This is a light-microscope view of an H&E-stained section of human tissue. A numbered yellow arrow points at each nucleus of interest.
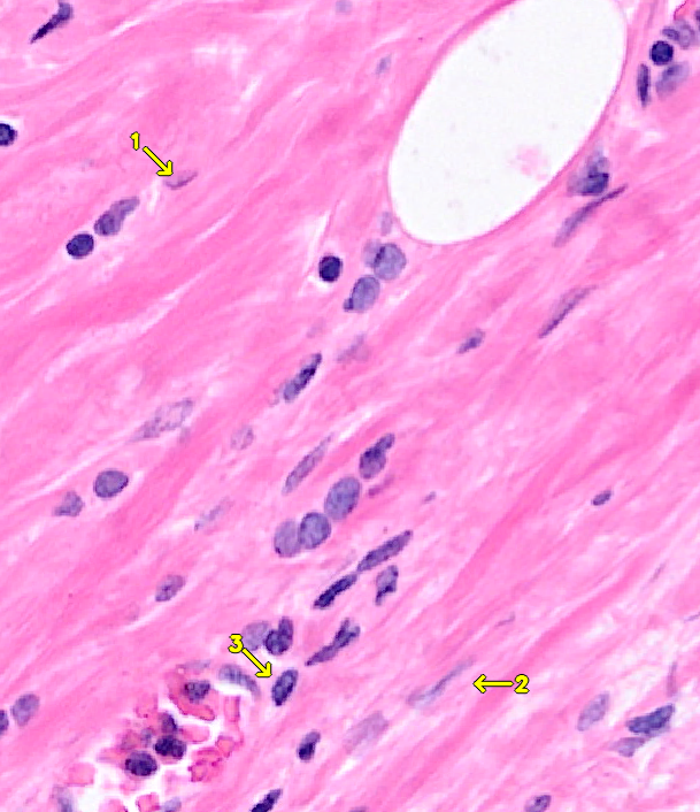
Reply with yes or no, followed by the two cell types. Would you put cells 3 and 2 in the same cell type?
No, in contrast to cell 3, which is a lymphocyte, cell 2 is a fibroblast.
